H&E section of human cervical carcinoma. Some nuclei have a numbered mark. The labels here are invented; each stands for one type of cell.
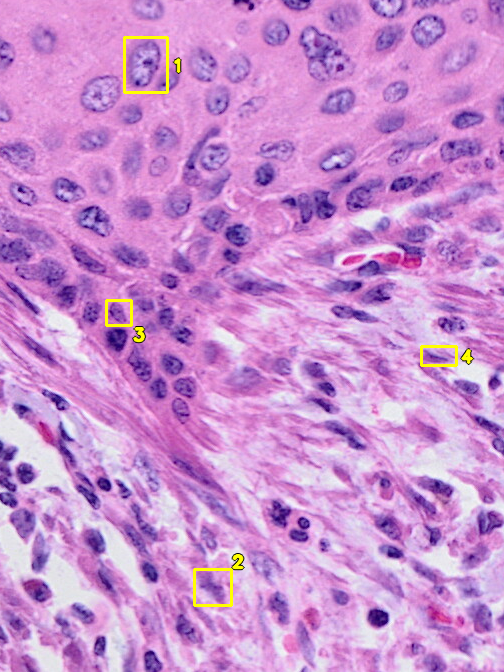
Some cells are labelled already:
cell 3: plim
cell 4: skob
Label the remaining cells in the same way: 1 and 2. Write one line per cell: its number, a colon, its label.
1: plim
2: skob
